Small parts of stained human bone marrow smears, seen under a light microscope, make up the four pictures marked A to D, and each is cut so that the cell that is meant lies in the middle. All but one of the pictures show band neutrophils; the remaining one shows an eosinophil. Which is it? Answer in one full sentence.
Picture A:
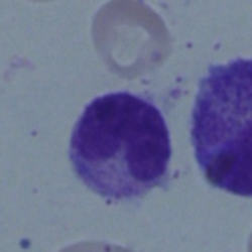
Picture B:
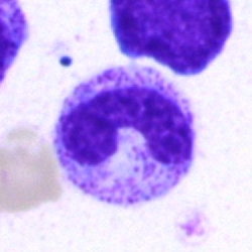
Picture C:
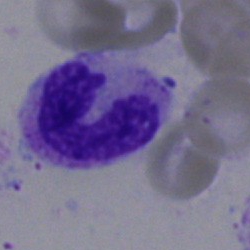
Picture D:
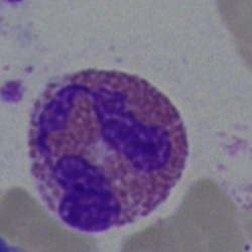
It is picture D that shows the eosinophil.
